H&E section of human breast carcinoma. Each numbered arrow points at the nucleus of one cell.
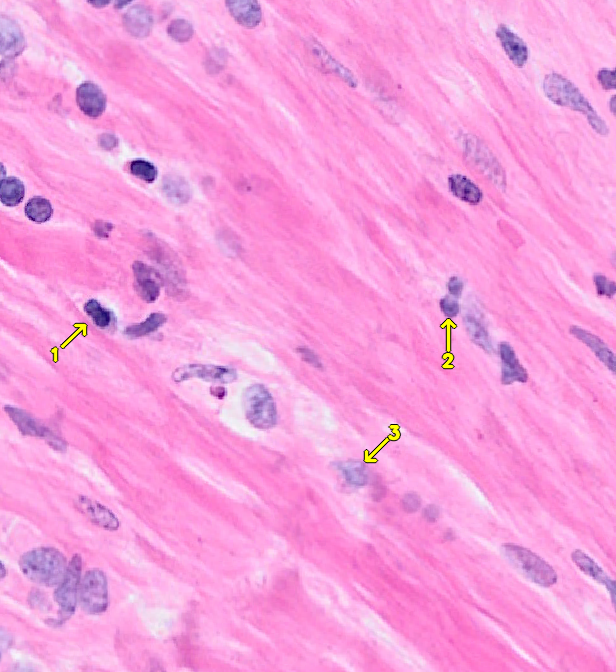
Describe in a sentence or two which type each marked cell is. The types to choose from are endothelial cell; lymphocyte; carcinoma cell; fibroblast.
Cells 1 and 2 are lymphocytes. Cell 3 is a fibroblast.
